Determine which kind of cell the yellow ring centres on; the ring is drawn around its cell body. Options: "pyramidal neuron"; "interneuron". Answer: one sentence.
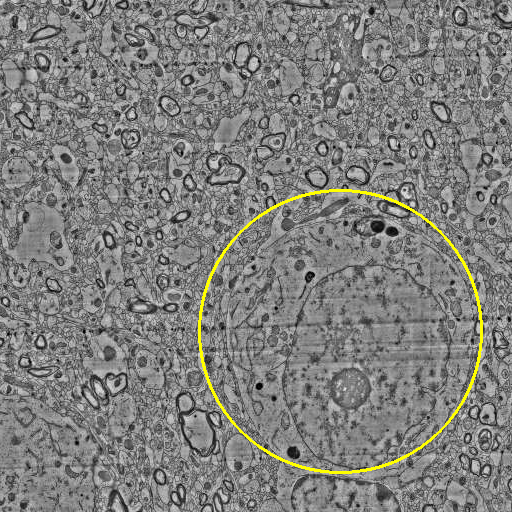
The ring centres on a pyramidal neuron.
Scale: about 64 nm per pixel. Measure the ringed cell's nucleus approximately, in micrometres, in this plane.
In this plane the nucleus spans approximately 13 by 10 micrometers.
